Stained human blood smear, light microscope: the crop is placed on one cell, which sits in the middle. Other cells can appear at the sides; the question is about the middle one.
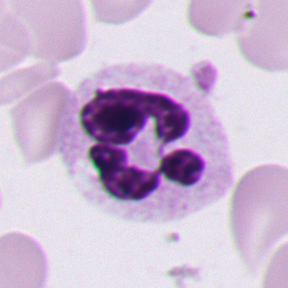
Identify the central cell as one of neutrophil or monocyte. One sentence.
To answer, the cell in the center of the crop is a neutrophil.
